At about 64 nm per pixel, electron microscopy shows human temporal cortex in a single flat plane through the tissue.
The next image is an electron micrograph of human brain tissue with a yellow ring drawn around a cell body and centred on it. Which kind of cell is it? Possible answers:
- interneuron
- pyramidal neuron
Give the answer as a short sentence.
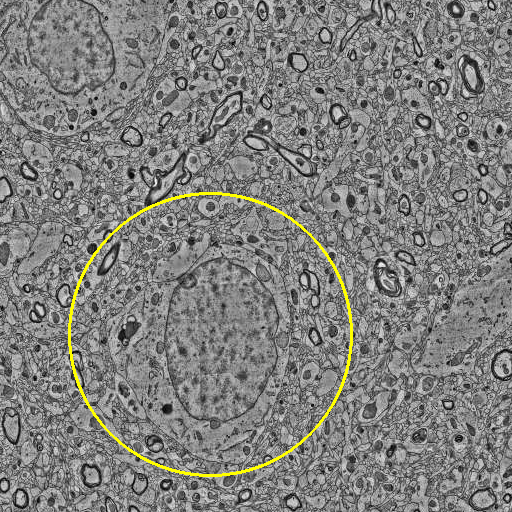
In the ring's centre is a pyramidal neuron.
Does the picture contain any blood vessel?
No, no blood vessel can be seen.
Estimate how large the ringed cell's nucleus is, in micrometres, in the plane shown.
The nucleus of the ringed cell is approximately 10 by 7 micrometres in this plane.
